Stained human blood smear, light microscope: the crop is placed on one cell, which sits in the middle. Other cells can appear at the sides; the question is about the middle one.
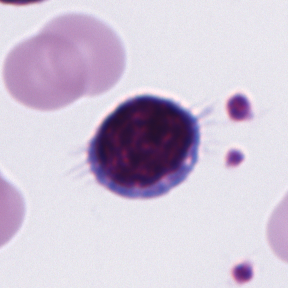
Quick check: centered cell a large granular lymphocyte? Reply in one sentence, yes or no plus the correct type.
Yes, this crop has a large granular lymphocyte at its centre.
